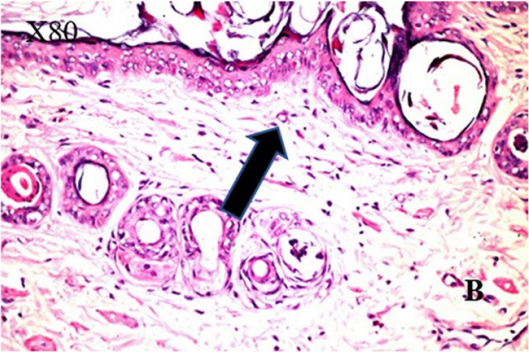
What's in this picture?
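Section of skin showing the epidermis and underlying dermis with hair follicles. The epidermis at the top is thickened in places, made of several rows of cells with pale, clear-looking cytoplasm and small nuclei, covered by a thin keratin layer. Large rounded follicles with keratin-filled lumina open near the surface at the right. The dermis below is loose and pale, with widely separated pink fibres and scattered small dark nuclei, some spindle-shaped. Several hair follicles cut in cross section lie in the dermis, each a ring of epithelial cells around a lumen; some contain pink or dark debris.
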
